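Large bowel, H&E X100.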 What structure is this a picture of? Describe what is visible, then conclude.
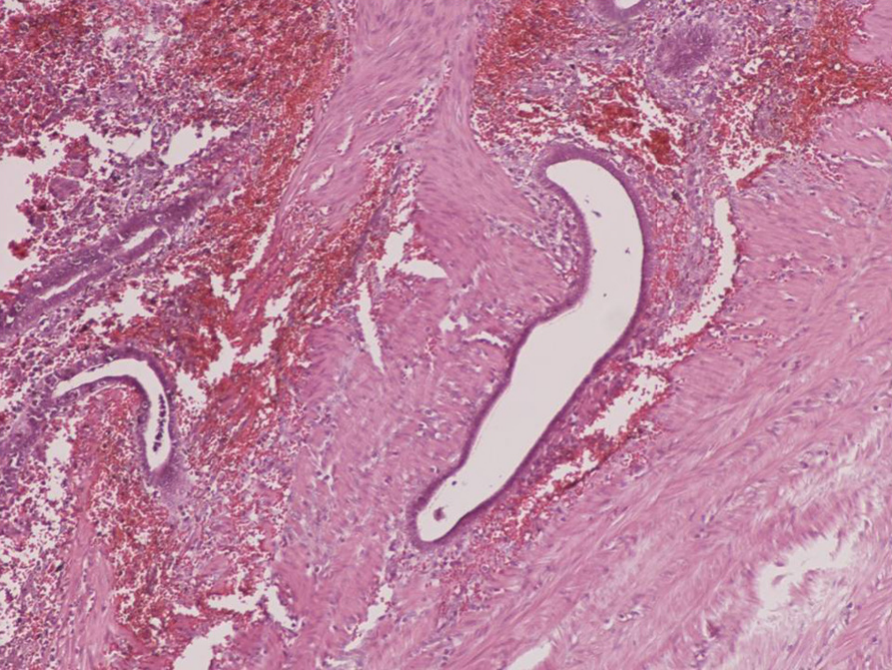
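Endometrial glands. Elongated, curved gland lumens lined by a single layer of columnar epithelium. The glands lie within pink smooth muscle rather than mucosa.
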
